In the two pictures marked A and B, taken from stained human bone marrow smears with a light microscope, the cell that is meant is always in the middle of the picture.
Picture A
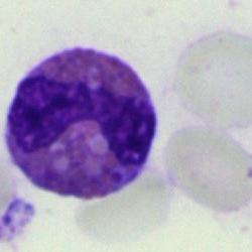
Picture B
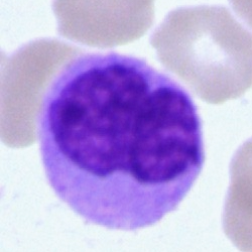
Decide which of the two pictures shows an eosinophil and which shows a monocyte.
A: eosinophil
B: monocyte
